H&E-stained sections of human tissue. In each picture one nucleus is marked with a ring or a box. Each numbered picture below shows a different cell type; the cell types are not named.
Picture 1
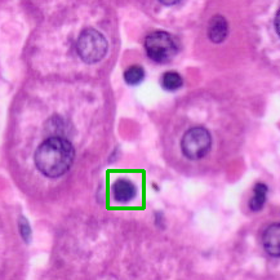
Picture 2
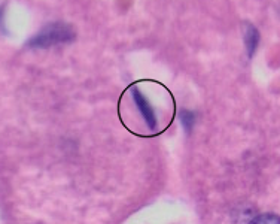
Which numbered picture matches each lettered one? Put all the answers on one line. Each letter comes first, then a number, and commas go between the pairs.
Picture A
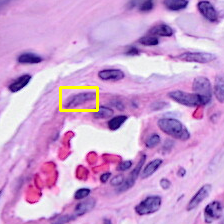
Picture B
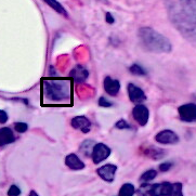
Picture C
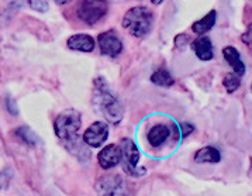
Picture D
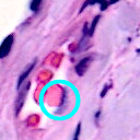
A 2, B 2, C 1, D 2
